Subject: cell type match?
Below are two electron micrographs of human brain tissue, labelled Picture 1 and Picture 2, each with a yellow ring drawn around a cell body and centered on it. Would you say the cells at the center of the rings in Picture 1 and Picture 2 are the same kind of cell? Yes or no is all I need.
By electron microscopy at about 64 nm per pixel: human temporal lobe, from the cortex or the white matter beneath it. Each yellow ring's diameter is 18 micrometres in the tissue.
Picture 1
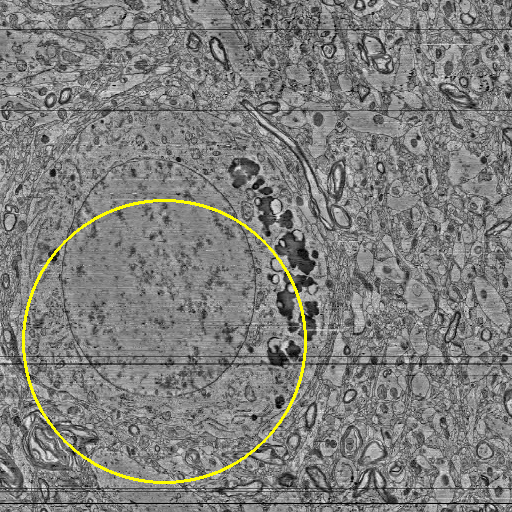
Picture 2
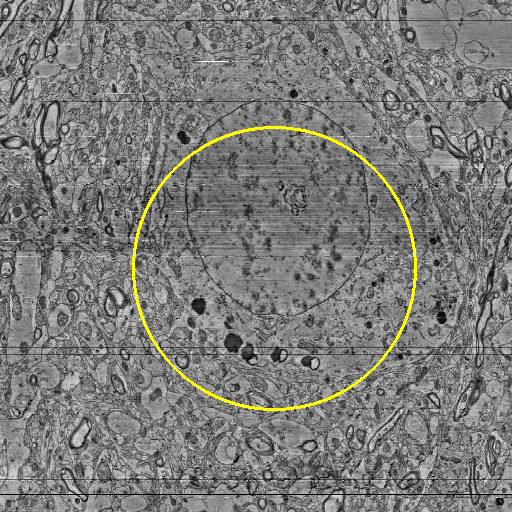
yes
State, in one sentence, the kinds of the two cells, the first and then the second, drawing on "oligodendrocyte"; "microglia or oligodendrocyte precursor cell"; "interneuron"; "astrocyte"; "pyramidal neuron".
Each of the two rings surrounds a pyramidal neuron.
